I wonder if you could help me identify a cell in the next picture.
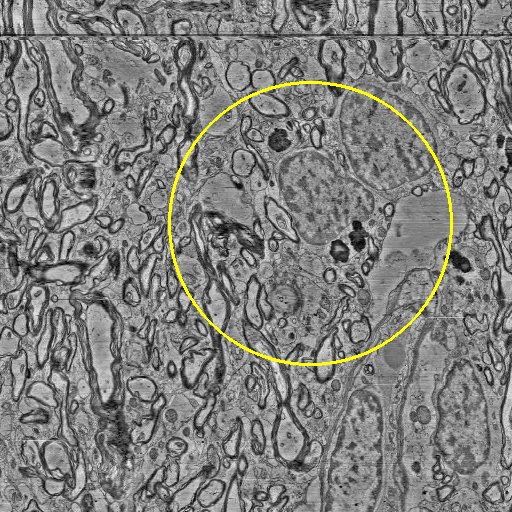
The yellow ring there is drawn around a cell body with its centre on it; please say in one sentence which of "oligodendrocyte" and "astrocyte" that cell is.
The yellow ring is centred on an oligodendrocyte.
